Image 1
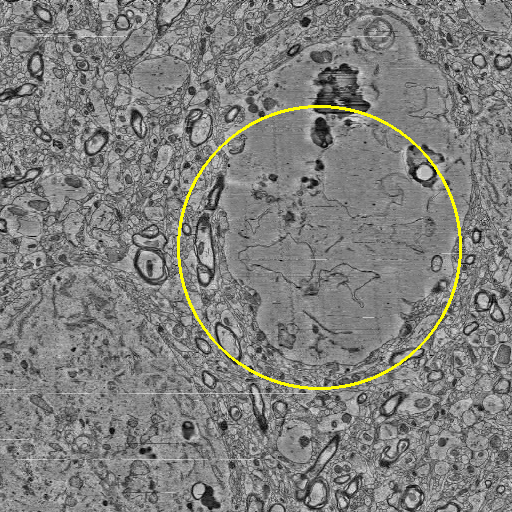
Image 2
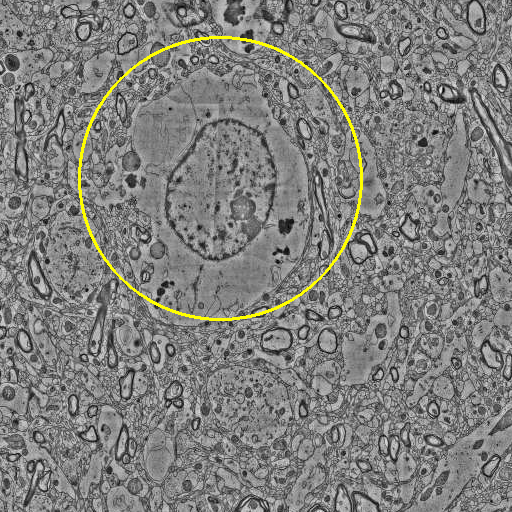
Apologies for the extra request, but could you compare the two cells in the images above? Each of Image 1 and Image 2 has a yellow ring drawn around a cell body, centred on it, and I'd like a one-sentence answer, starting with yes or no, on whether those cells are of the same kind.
Yes, both cells are of the same kind.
